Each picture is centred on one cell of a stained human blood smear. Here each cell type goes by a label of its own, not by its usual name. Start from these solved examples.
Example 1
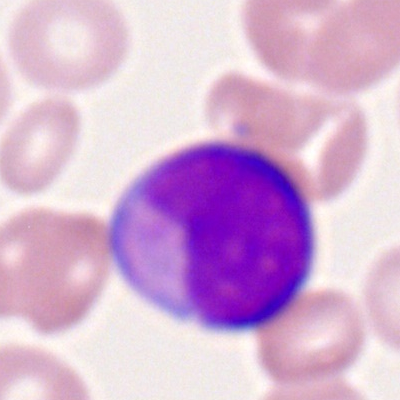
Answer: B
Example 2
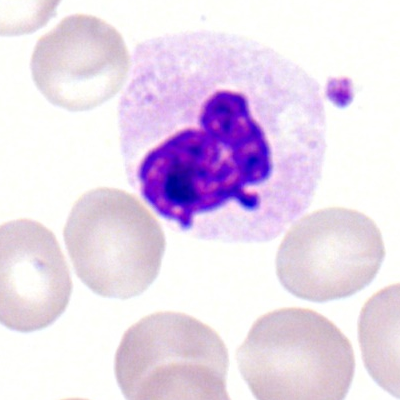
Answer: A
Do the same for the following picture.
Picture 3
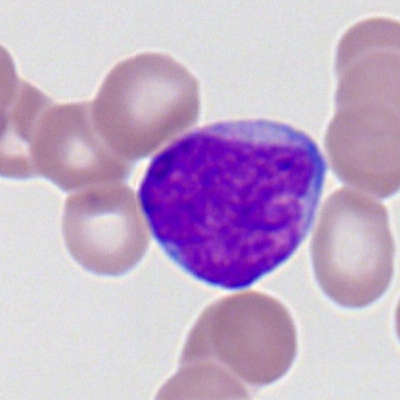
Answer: B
